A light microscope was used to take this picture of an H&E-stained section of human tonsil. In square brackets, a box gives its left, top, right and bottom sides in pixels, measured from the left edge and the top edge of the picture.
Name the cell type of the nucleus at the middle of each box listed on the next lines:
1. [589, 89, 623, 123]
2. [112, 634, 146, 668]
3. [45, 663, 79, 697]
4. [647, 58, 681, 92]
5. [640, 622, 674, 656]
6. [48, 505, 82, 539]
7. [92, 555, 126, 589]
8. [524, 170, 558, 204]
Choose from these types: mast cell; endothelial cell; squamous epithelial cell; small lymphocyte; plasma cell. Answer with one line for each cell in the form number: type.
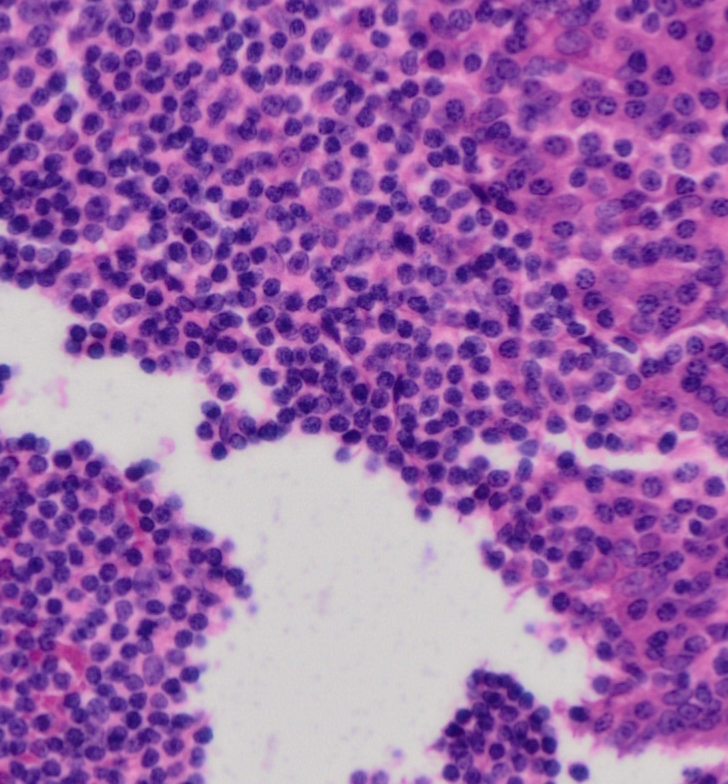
1: plasma cell
2: small lymphocyte
3: small lymphocyte
4: plasma cell
5: plasma cell
6: small lymphocyte
7: small lymphocyte
8: plasma cell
